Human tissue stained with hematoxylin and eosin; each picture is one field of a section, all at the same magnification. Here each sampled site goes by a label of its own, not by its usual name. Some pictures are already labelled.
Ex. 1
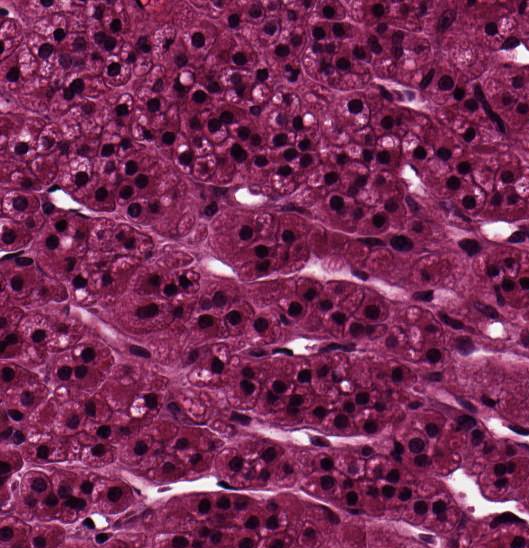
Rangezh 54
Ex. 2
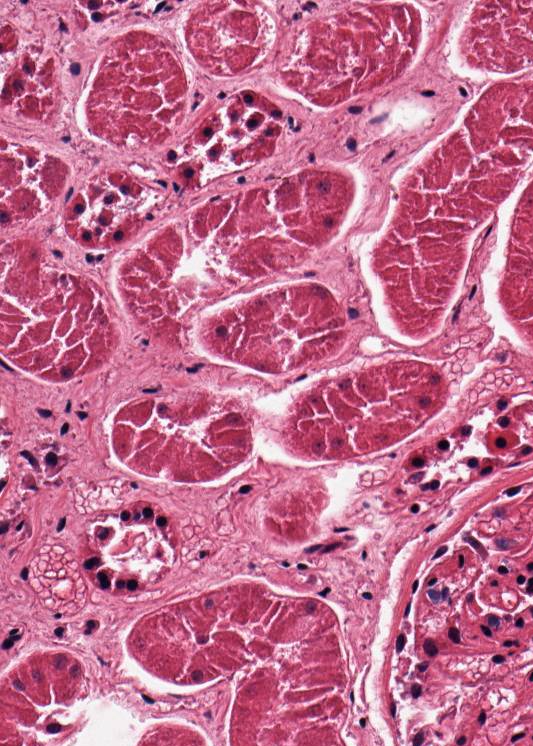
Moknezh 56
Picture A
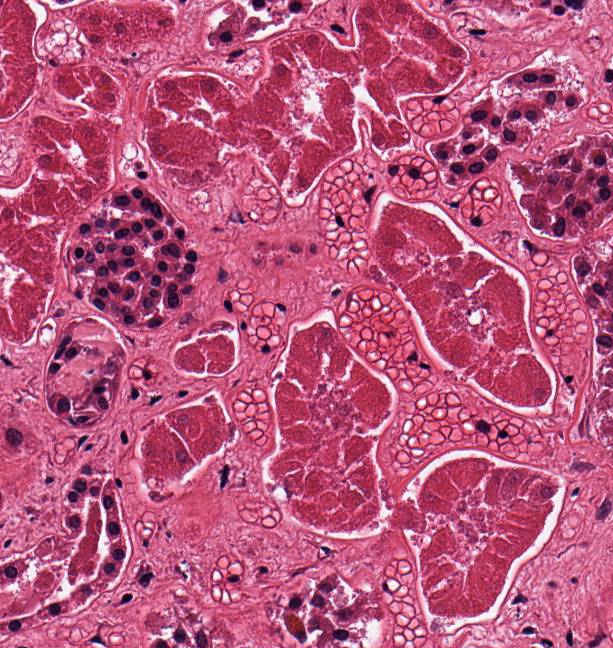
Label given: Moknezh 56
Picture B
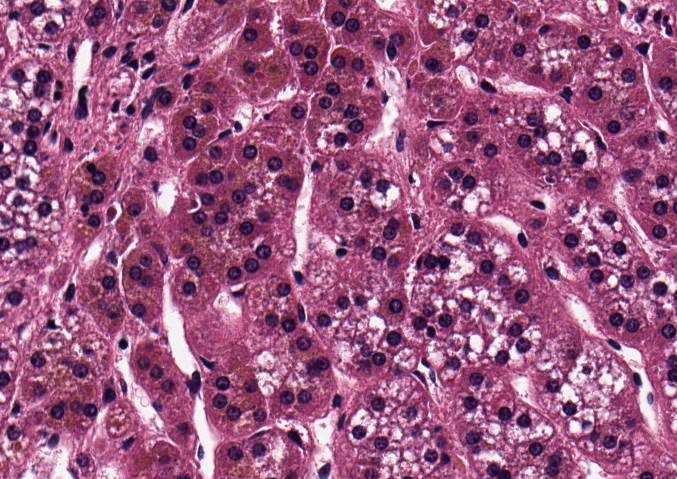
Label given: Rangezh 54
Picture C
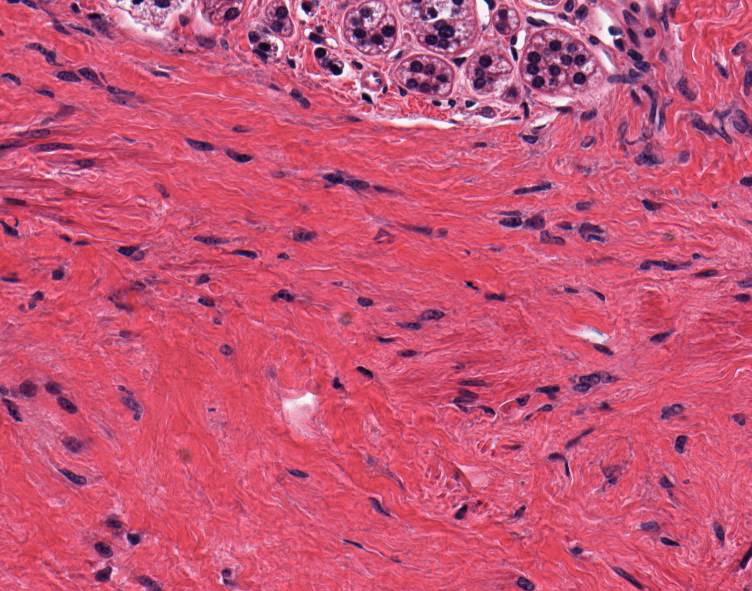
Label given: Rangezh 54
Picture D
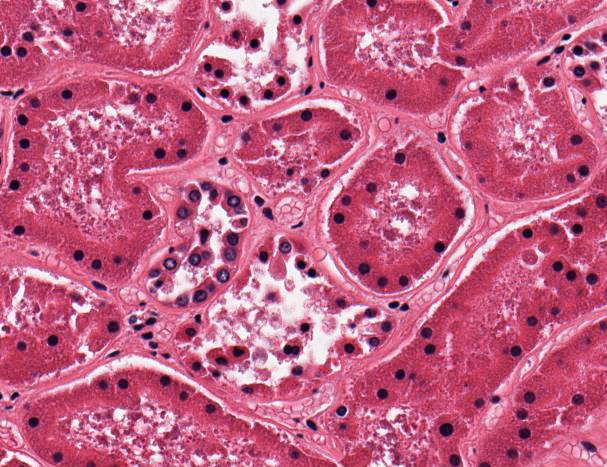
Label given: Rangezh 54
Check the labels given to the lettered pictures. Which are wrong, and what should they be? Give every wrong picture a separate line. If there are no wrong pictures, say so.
Wrong: D (Rangezh 54); correct: Moknezh 56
